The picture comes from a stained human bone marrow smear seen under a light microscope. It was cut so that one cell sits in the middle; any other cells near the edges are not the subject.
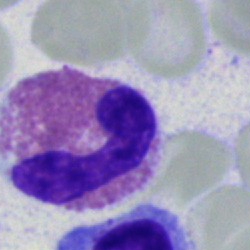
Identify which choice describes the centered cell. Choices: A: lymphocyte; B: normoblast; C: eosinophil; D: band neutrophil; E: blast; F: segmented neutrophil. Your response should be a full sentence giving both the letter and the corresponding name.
Since the middle cell is an eosinophil, option C is the right one.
